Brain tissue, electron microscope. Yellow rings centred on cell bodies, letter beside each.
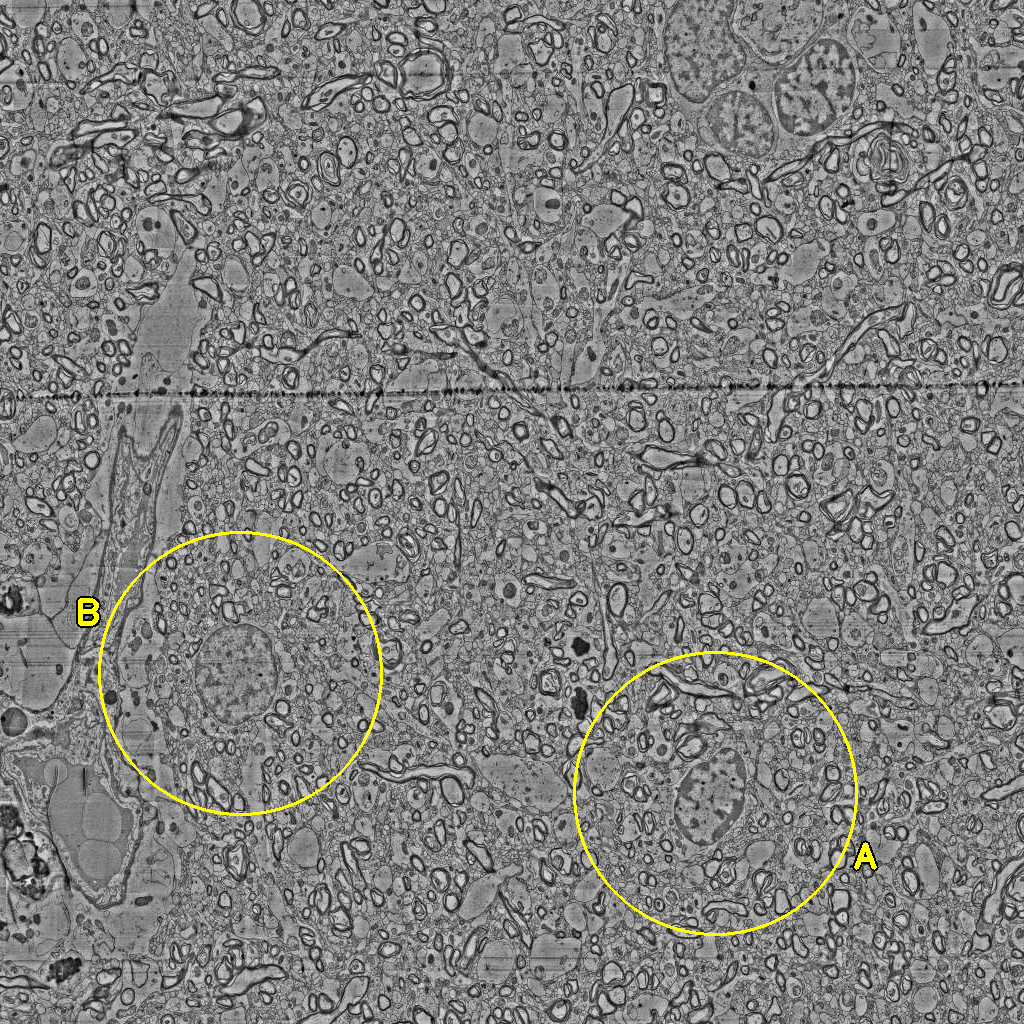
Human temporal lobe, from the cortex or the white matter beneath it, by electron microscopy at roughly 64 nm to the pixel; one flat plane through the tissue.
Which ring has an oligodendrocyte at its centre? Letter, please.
B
